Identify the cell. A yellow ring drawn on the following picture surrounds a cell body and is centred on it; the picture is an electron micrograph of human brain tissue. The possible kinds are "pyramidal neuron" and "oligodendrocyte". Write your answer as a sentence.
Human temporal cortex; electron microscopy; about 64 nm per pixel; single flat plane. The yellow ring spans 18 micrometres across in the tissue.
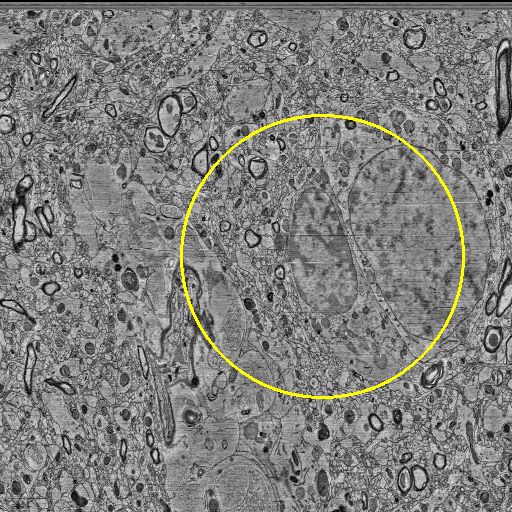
The cell identified by the ring is an oligodendrocyte.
